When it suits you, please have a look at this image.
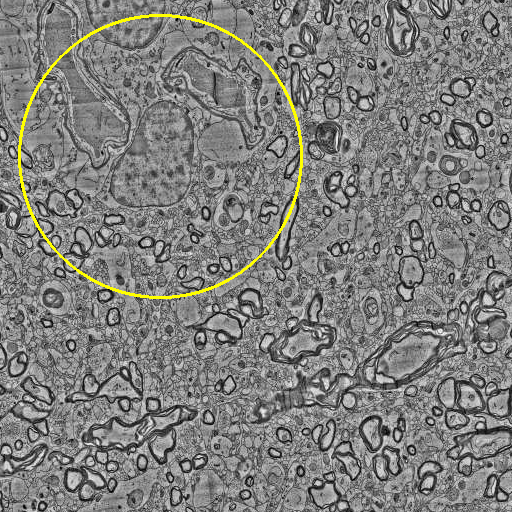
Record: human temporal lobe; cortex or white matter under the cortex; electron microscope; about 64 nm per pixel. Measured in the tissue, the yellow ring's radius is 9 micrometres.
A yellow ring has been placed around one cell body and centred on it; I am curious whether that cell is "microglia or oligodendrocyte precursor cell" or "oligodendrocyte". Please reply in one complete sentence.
The ringed cell, a microglial cell or oligodendrocyte precursor cell, has its body at the centre of the yellow ring.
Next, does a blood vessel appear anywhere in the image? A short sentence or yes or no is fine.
Yes, there is a blood vessel.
